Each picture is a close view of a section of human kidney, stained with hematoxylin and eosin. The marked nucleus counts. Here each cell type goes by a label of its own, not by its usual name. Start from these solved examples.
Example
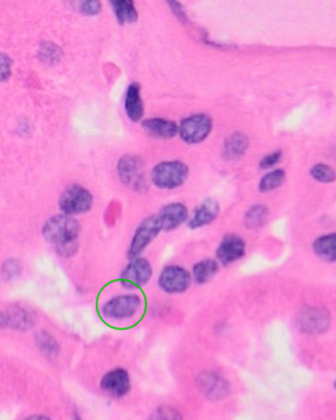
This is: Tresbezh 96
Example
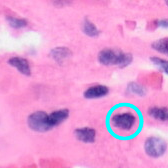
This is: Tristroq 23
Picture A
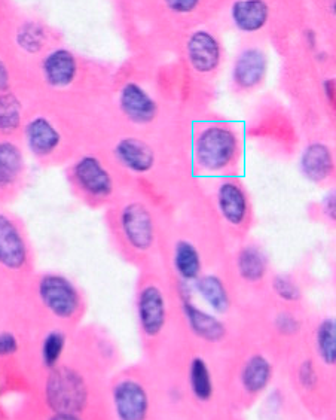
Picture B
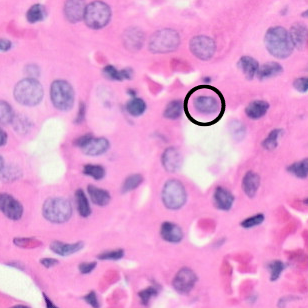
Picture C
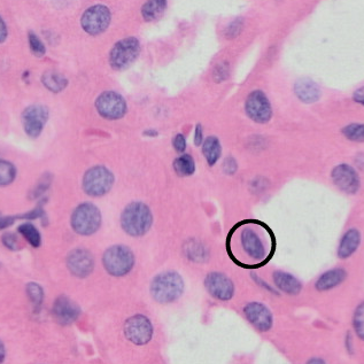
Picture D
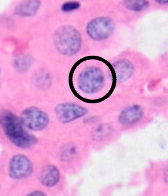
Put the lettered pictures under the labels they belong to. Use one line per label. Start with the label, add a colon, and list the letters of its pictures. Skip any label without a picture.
Tristroq 23: A, B, C, D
